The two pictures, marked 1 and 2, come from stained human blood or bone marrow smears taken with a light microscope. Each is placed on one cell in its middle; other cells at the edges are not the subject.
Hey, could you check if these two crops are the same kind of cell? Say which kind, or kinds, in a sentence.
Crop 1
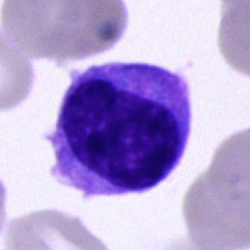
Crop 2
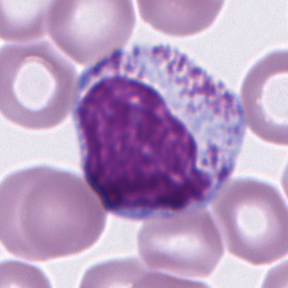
No, the cell at the middle of crop 1 is a monocyte, while crop 2 centres on a myelocyte.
